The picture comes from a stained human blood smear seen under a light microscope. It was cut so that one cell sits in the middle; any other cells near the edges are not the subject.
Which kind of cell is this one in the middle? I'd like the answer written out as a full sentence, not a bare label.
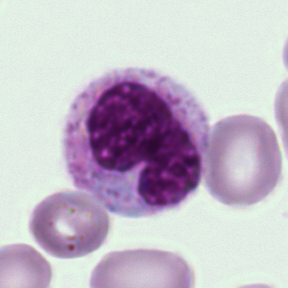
On this slide crop, the central cell is a band neutrophil.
